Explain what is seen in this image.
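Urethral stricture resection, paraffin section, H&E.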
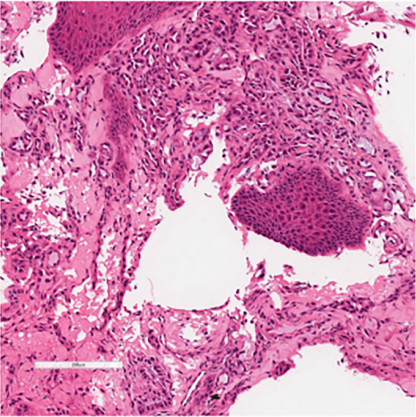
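In loose pink connective tissue lie many small tubules and glands, each lined by a single layer of small, flattened cells with dark nuclei, some bulging slightly into the lumen. Beside them sits a rounded solid nest of crowded squamous cells, and a strip of squamous epithelium borders the top. The small glands with a single flat to hobnailed lining set in the stroma make up a glandular nephrogenic adenoma beneath squamous epithelium.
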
